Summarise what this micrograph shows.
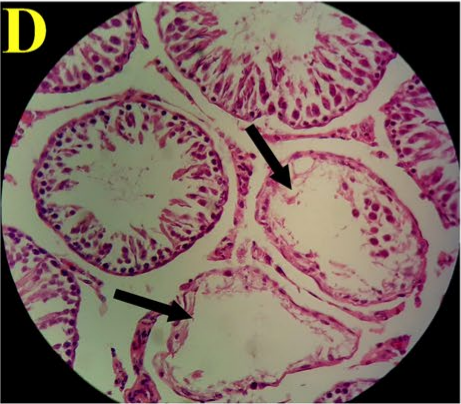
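Seminiferous tubules of the testis showing degenerative changes side by side with a better-preserved tubule. Two tubules are largely empty, with pale lumina and only a thin, discontinuous rim of cells along their walls. Their outlines are irregular and partly collapsed. The neighbouring tubule keeps a layered epithelium of dark nuclei but with an open, sparse centre. Wide clear spaces separate the tubules.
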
